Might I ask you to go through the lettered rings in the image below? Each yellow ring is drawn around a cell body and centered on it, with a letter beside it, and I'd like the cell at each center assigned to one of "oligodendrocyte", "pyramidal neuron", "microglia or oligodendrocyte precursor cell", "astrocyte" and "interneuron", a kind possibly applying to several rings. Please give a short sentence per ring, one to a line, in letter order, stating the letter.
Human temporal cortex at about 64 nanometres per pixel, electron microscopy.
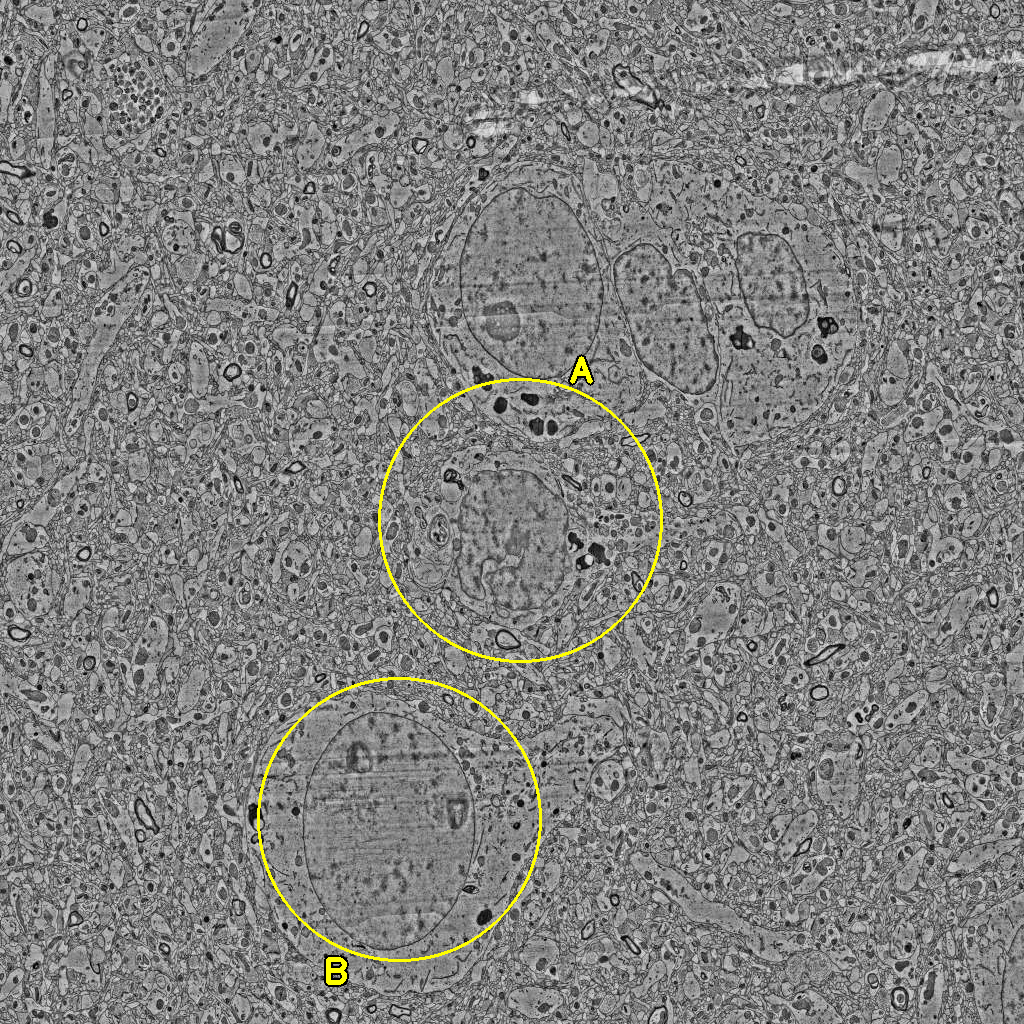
Ring A is centered on the body of an interneuron.
Ring B is centered on the body of a pyramidal neuron.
